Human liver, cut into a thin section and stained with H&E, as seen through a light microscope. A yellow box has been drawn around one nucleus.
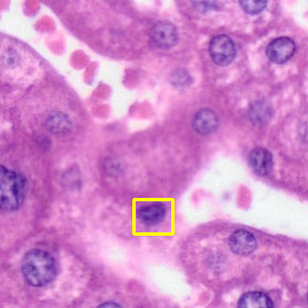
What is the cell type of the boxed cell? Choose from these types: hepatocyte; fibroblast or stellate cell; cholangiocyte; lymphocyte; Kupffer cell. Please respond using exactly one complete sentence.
The identity of the boxed cell: it is a fibroblast or stellate cell.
